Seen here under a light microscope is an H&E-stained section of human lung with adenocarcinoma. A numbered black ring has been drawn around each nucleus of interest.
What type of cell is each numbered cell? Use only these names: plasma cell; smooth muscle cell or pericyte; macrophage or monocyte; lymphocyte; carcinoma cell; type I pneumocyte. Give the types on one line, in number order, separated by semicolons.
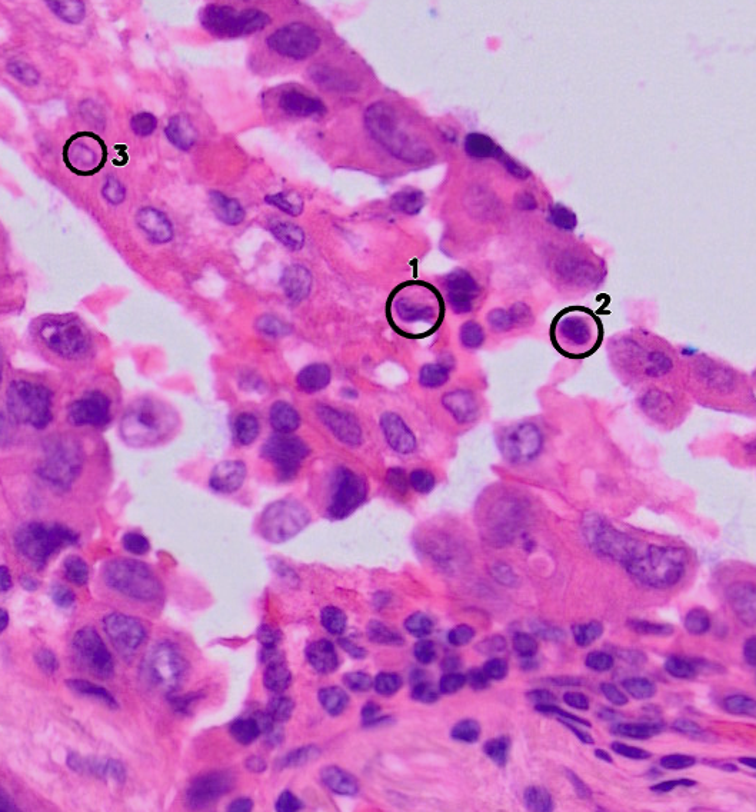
macrophage or monocyte; lymphocyte; macrophage or monocyte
